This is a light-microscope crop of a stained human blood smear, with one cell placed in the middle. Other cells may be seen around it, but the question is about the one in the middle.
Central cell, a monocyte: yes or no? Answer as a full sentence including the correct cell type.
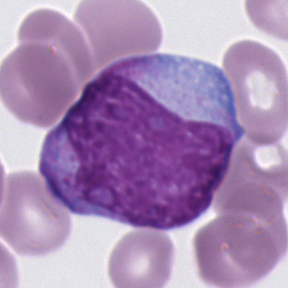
No, the cell placed at the center is an atypical promyelocyte rather than a monocyte.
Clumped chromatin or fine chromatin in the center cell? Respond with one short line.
The key point is fine chromatin with no coarse clumps.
